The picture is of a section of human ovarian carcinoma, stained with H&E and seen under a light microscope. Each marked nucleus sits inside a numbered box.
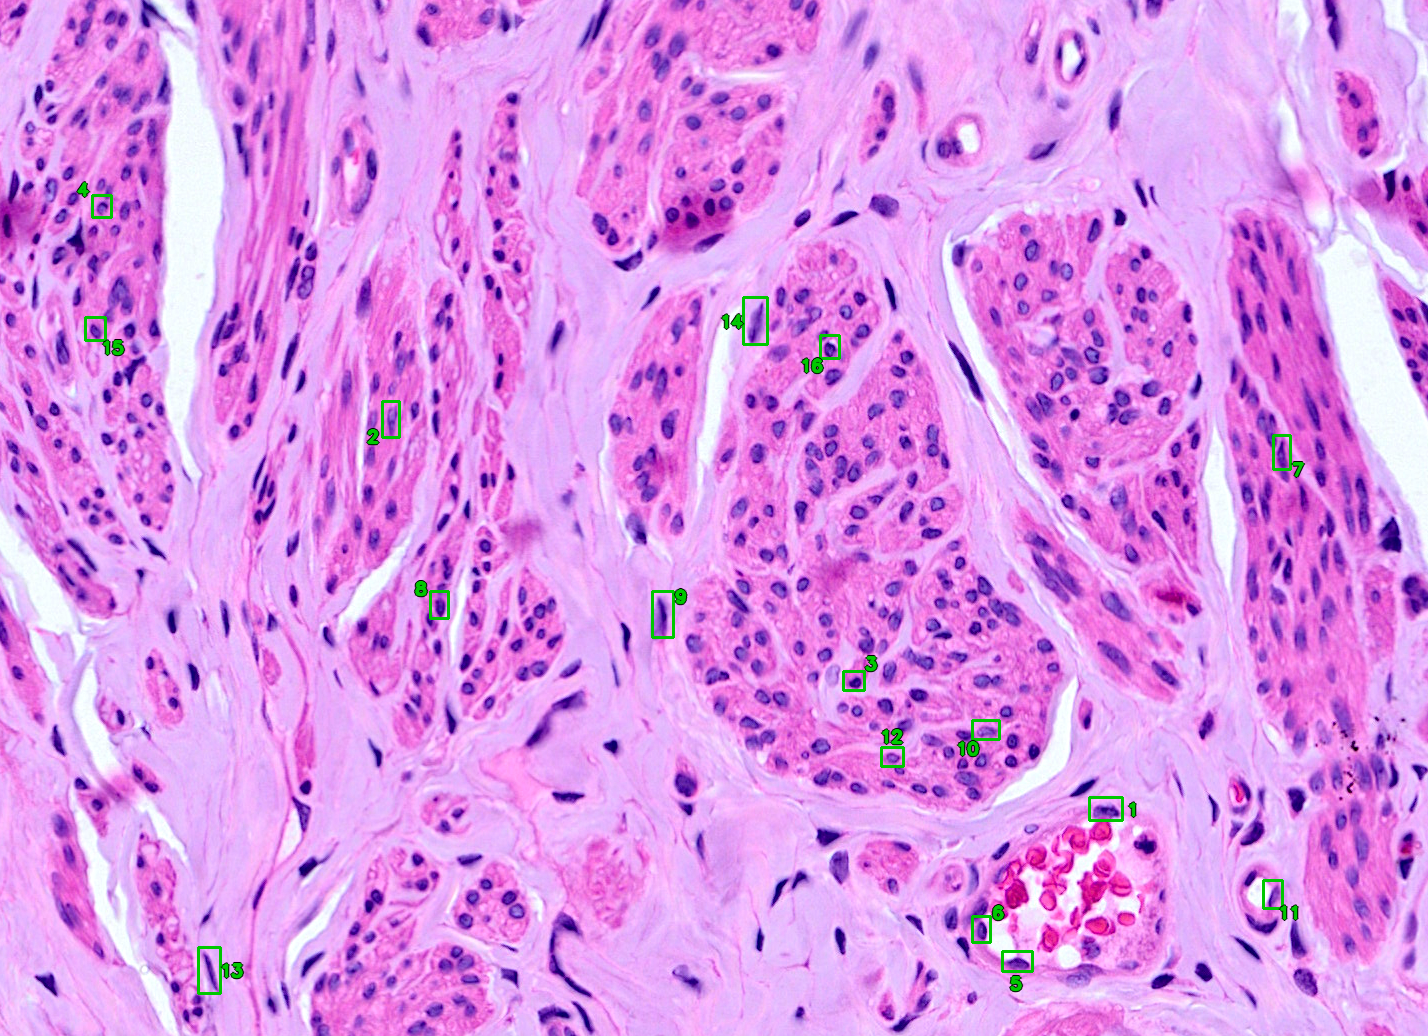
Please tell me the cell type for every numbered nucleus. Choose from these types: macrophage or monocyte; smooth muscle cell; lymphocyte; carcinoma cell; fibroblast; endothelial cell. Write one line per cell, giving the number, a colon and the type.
1: endothelial cell
2: smooth muscle cell
3: smooth muscle cell
4: smooth muscle cell
5: endothelial cell
6: endothelial cell
7: smooth muscle cell
8: smooth muscle cell
9: fibroblast
10: smooth muscle cell
11: endothelial cell
12: smooth muscle cell
13: fibroblast
14: fibroblast
15: smooth muscle cell
16: smooth muscle cell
